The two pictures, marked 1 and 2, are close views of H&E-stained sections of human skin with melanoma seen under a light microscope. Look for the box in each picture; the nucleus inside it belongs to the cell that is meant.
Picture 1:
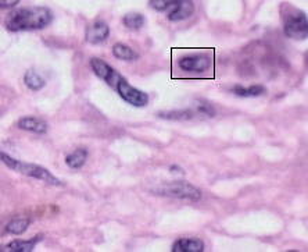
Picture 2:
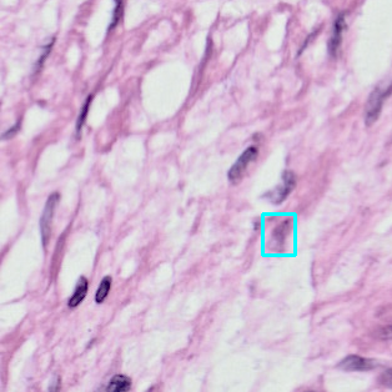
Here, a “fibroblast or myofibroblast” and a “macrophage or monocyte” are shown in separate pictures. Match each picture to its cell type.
1: macrophage or monocyte
2: fibroblast or myofibroblast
